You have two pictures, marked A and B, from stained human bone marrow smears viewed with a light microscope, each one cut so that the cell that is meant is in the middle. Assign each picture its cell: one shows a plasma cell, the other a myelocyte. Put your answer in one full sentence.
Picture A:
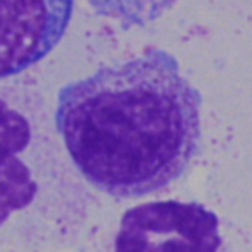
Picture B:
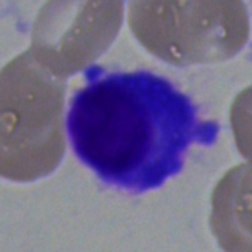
In picture A the cell is a myelocyte; in picture B, a plasma cell.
